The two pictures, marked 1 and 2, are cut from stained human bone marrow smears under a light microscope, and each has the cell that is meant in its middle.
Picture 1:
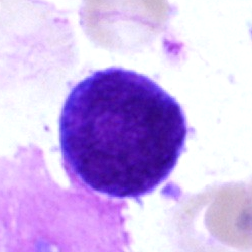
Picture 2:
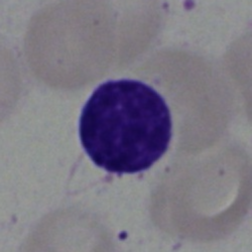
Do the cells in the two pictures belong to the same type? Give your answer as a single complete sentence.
No; the cell in picture 1 is a blast, while the one in picture 2 is a lymphocyte.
